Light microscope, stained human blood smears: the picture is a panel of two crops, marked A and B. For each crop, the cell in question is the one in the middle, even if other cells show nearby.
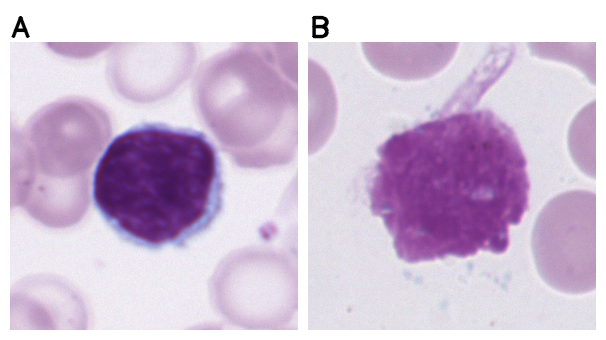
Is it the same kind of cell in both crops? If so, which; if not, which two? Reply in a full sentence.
No, at the centre of crop A is a typical lymphocyte, and at the centre of crop B is a smudge cell.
